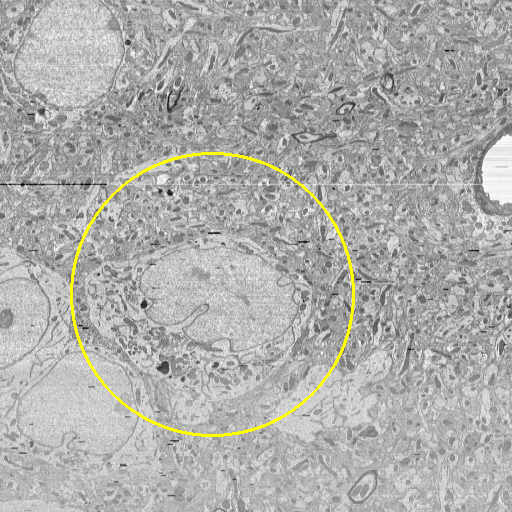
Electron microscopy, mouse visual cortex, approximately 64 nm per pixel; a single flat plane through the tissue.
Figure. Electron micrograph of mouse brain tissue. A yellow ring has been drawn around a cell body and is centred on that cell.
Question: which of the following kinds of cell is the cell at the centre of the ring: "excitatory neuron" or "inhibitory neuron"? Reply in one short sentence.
The cell at the centre of the ring is an inhibitory neuron.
